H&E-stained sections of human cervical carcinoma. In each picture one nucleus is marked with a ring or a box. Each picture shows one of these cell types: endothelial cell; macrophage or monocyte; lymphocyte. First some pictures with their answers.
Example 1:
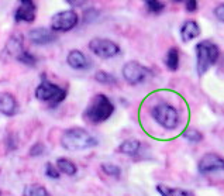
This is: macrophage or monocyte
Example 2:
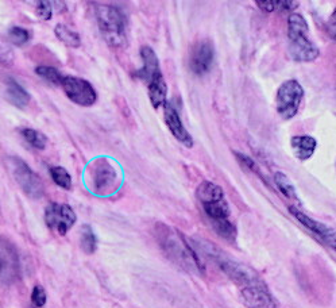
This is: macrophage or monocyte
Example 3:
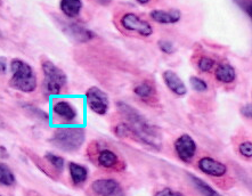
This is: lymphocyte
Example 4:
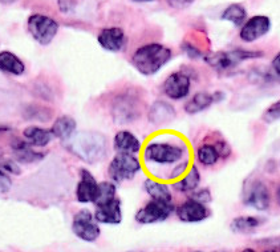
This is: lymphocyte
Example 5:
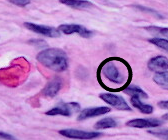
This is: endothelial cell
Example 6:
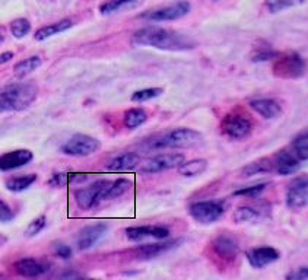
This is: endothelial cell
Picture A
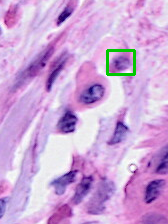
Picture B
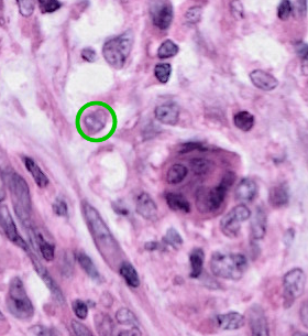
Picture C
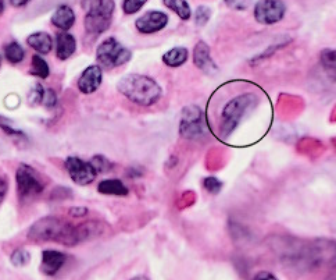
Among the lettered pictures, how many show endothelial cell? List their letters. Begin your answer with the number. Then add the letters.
Count: 1 (C)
